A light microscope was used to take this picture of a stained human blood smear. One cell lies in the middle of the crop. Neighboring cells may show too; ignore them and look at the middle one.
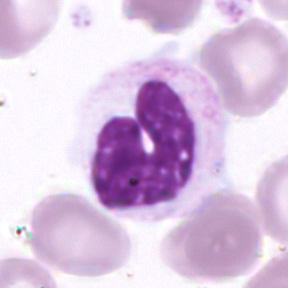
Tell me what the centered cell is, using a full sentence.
The cell occupying the middle of the crop is a band neutrophil.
